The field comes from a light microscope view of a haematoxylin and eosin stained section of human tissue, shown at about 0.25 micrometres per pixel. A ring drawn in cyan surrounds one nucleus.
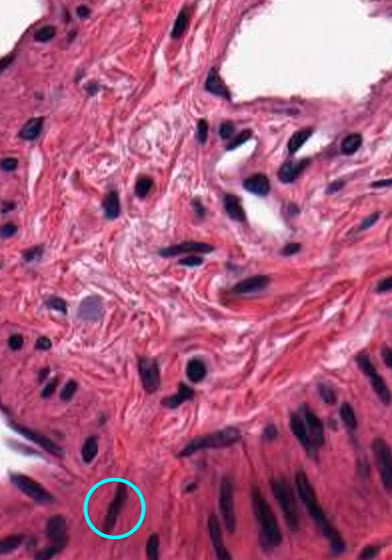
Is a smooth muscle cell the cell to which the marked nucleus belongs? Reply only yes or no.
yes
